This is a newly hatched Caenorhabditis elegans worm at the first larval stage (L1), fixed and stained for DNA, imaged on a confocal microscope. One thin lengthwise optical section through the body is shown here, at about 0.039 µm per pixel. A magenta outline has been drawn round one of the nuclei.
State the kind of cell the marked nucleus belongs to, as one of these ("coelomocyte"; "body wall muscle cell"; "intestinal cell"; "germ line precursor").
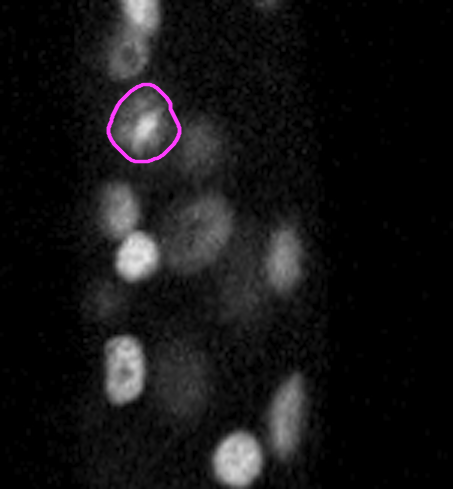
germ line precursor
